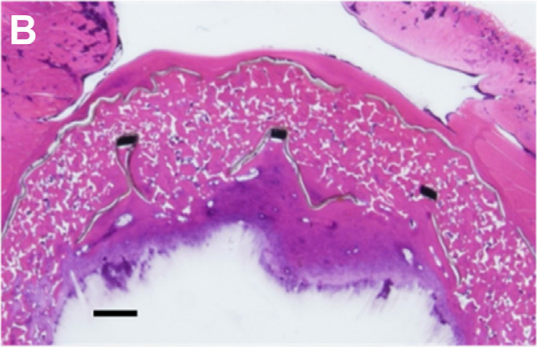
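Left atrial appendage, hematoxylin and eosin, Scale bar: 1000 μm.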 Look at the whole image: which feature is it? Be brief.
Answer: Neointimal coverage.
